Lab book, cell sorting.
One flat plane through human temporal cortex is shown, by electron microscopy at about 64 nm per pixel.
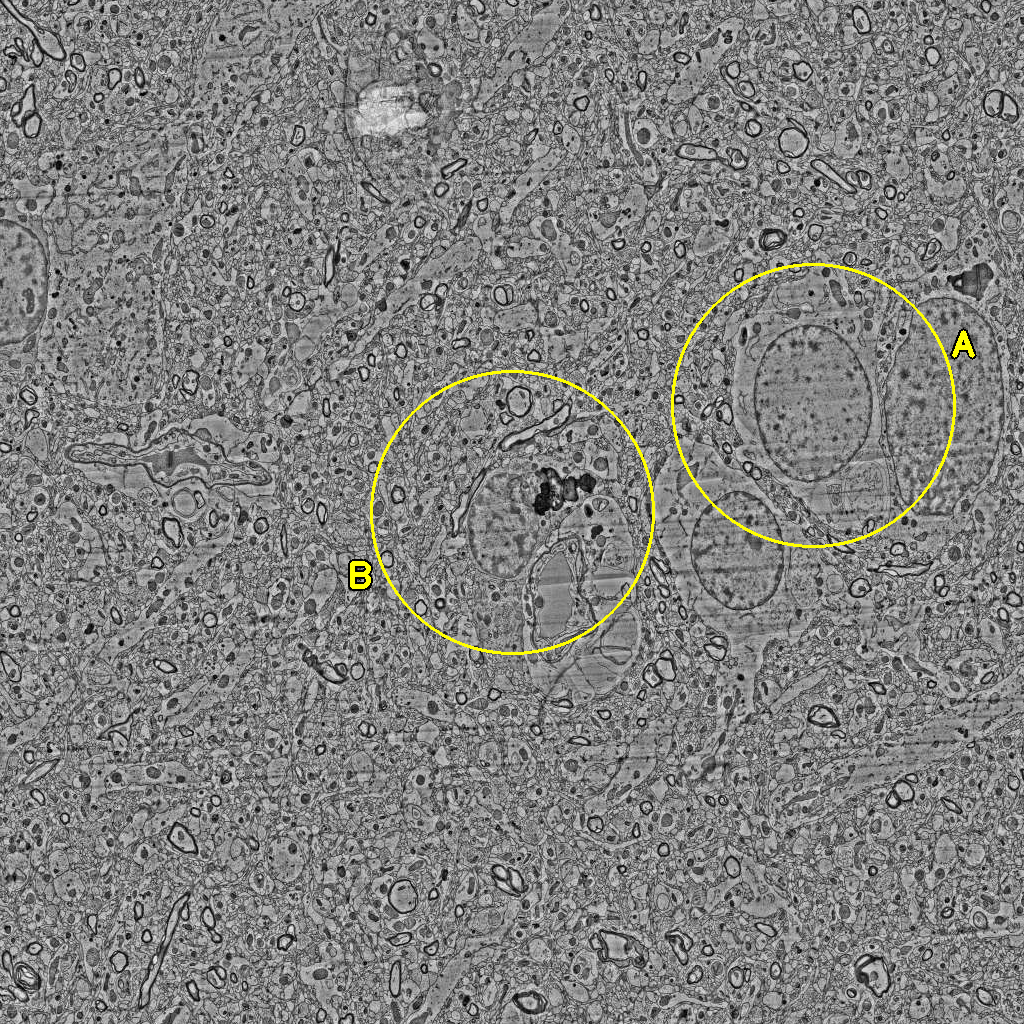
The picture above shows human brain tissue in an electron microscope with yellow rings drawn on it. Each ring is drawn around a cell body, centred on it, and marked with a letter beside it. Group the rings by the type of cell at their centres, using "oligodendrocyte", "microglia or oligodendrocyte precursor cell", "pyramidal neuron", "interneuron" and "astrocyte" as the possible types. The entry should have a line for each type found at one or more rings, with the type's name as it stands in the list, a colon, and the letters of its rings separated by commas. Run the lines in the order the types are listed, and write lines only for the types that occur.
oligodendrocyte: B
astrocyte: A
